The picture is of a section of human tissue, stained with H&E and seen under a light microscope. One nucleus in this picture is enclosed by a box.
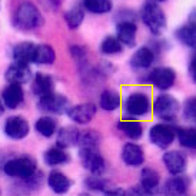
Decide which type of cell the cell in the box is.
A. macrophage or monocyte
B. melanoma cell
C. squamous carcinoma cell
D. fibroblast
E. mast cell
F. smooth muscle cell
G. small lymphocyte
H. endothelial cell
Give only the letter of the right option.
G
